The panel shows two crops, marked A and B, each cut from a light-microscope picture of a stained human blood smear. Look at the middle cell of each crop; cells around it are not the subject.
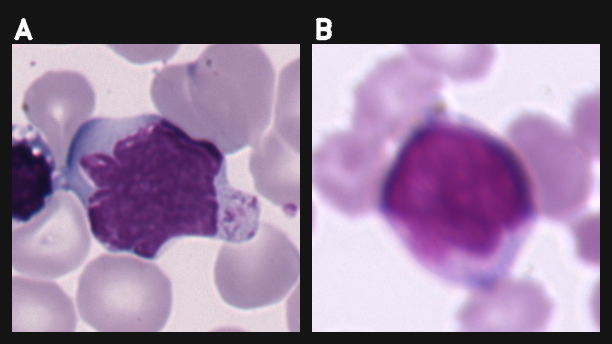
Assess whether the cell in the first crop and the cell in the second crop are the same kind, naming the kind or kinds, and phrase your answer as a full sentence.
No, a large granular lymphocyte is what crop A shows, and a myeloblast is what crop B shows.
